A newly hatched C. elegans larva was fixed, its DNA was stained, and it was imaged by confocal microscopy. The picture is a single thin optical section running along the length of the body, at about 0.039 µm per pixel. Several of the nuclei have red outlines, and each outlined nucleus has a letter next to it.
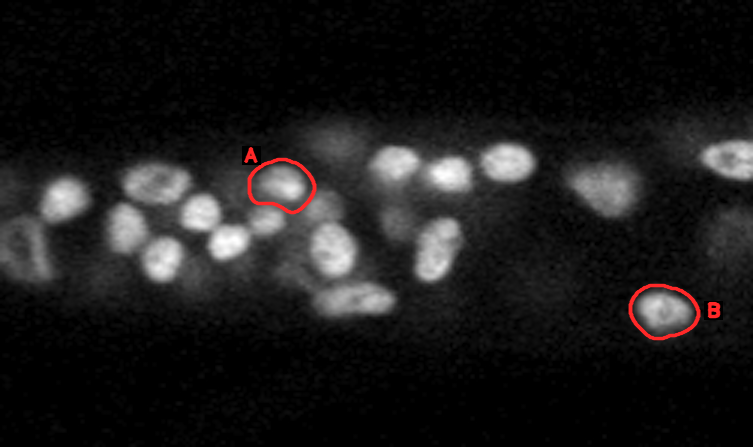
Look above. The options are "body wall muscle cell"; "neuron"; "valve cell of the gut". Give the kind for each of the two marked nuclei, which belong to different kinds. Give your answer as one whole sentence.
A belongs to a neuron and B to a body wall muscle cell.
